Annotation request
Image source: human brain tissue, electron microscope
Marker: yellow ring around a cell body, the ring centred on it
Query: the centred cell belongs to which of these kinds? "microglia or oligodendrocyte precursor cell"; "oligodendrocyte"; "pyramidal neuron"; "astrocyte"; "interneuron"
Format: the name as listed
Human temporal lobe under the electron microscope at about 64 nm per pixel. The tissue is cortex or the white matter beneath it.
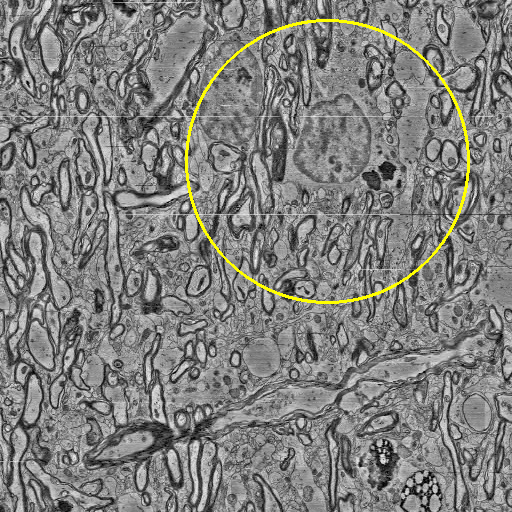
oligodendrocyte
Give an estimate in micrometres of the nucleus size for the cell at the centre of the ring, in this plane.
The nucleus appears roughly 6 by 4 micrometres in this plane.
